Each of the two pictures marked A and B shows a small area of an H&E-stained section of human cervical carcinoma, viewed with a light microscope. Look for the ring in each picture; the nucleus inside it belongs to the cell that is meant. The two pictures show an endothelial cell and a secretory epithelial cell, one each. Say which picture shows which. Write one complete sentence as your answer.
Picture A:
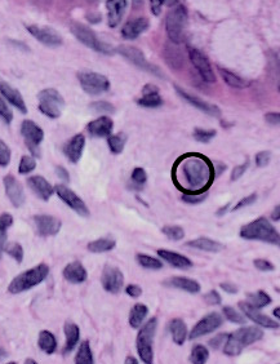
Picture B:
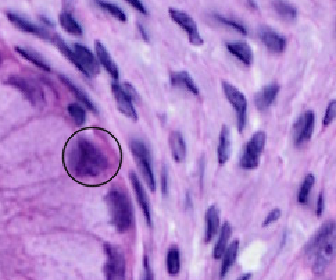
Picture B shows a secretory epithelial cell, while picture A shows an endothelial cell.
